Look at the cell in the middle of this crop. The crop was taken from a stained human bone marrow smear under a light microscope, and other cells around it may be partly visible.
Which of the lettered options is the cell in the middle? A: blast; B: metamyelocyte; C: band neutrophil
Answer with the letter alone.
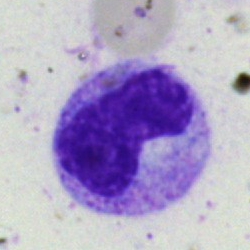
B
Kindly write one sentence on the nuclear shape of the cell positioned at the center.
A single compact nucleus is present, shaped round, oval or like a kidney.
